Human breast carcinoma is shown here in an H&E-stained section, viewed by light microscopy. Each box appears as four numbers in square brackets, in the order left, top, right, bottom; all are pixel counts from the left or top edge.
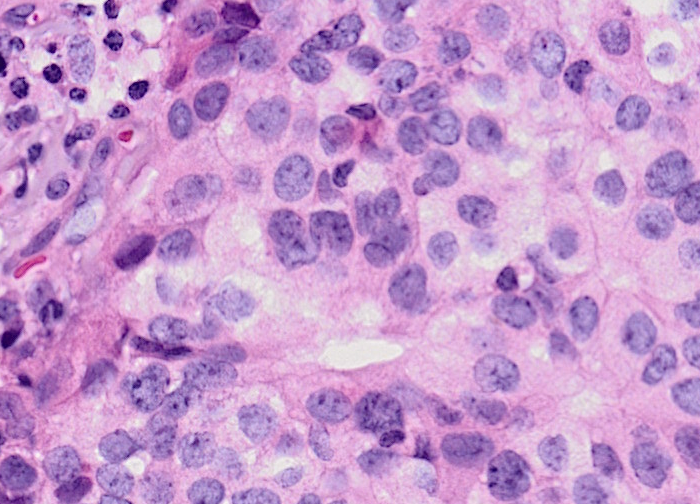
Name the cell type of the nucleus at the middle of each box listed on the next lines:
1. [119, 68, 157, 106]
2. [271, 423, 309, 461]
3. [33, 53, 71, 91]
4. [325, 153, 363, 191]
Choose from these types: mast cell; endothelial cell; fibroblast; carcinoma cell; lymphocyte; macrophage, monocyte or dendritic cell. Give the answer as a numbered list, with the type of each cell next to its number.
1. lymphocyte
2. carcinoma cell
3. lymphocyte
4. lymphocyte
